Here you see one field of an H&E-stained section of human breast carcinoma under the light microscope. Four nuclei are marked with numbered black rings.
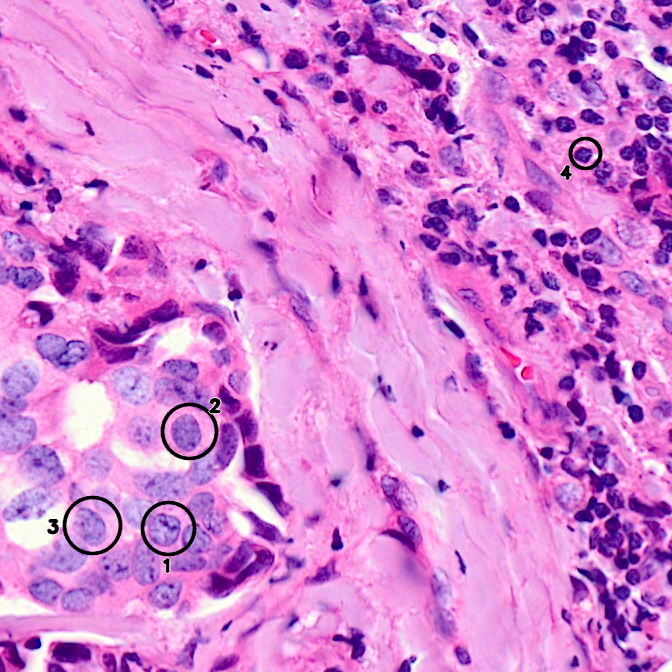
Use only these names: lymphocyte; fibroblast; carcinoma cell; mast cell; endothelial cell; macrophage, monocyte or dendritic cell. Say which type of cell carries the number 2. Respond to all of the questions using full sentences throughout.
In the marked set, the cell given number 2 is a carcinoma cell.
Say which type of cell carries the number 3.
In this section, number 3 marks a carcinoma cell.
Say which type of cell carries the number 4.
The cell identified by number 4 is a lymphocyte.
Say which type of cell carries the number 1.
The cell to which the number 1 is assigned is a carcinoma cell.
